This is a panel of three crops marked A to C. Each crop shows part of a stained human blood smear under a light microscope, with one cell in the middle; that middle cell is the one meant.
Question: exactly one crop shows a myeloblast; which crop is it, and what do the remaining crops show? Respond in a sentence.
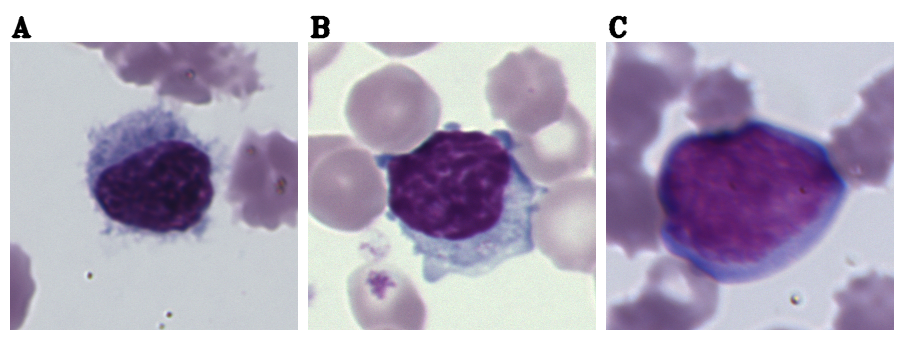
In crop C the central cell is a myeloblast, while crop A is a hairy cell and crop B is a typical lymphocyte.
